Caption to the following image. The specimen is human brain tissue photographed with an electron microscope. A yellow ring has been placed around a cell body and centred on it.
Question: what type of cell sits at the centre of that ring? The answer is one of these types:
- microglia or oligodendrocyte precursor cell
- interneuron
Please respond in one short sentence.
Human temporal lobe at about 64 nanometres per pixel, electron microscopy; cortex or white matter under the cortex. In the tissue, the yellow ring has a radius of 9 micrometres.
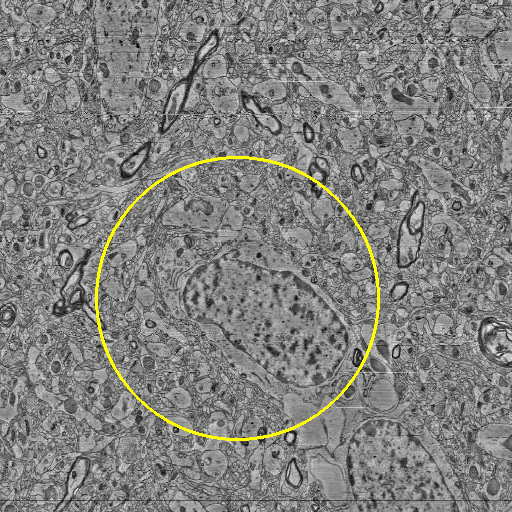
The ring surrounds the cell body of a microglial cell or oligodendrocyte precursor cell.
